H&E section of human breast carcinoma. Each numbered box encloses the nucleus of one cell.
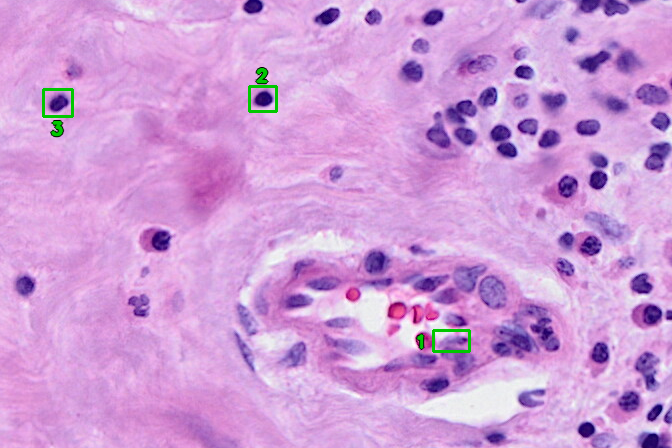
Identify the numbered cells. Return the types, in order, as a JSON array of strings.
["endothelial cell", "lymphocyte", "lymphocyte"]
